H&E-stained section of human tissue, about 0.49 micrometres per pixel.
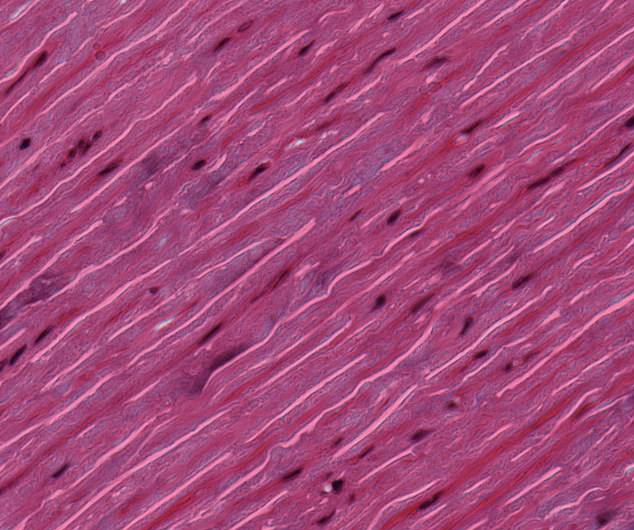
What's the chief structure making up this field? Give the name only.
tunica media of an artery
